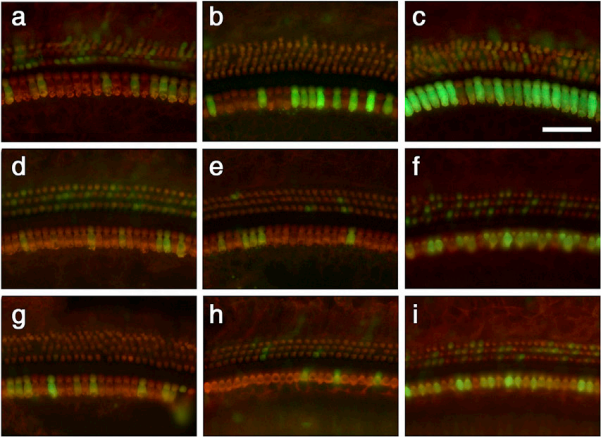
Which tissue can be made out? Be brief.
Organ of Corti.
